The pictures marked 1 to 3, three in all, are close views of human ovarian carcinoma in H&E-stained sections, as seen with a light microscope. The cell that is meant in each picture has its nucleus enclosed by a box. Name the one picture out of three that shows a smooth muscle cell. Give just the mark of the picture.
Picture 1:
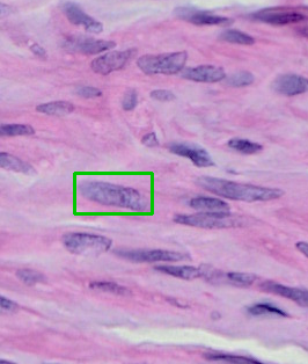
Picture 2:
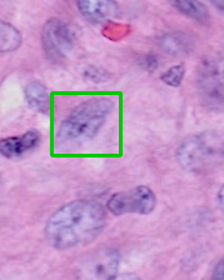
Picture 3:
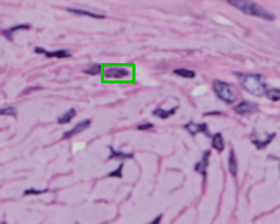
1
